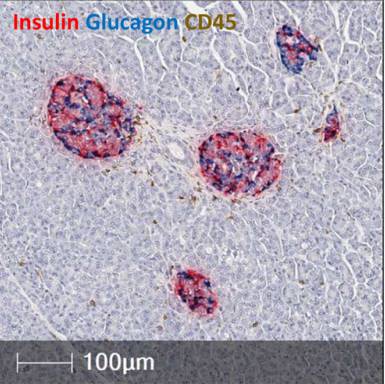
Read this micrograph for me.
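Pancreas at higher magnification with several rounded islets of Langerhans set in acinar tissue, with low level peri-insulitis. The islets are well filled with red-stained cells, with blue-stained cells intermingled throughout. Only a few small brown-stained immune cells lie at the islet margins and scattered in the exocrine tissue. The islet interiors are essentially free of brown cells. The acinar tissue around shows pale cytoplasm and small bluish nuclei.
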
